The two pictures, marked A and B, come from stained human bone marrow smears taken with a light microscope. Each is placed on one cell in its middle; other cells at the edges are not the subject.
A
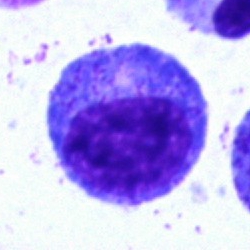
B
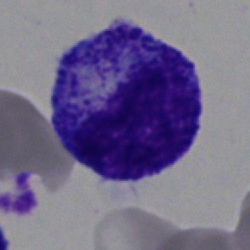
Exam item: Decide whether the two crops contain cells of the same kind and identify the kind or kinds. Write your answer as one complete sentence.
Yes, that holds, both crops show promyelocytes.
